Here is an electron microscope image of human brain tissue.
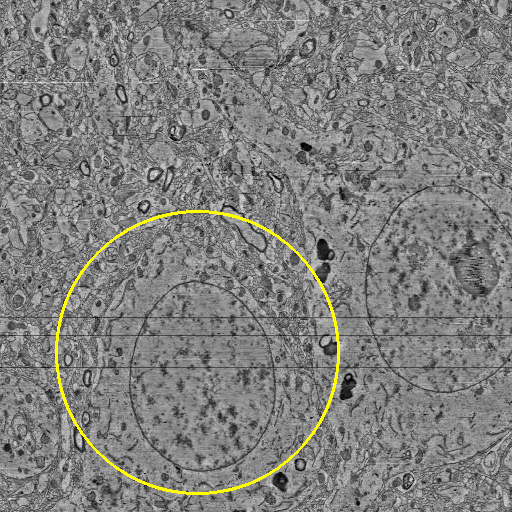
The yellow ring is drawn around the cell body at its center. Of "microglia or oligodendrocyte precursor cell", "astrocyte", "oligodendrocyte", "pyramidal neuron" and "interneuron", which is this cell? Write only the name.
pyramidal neuron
